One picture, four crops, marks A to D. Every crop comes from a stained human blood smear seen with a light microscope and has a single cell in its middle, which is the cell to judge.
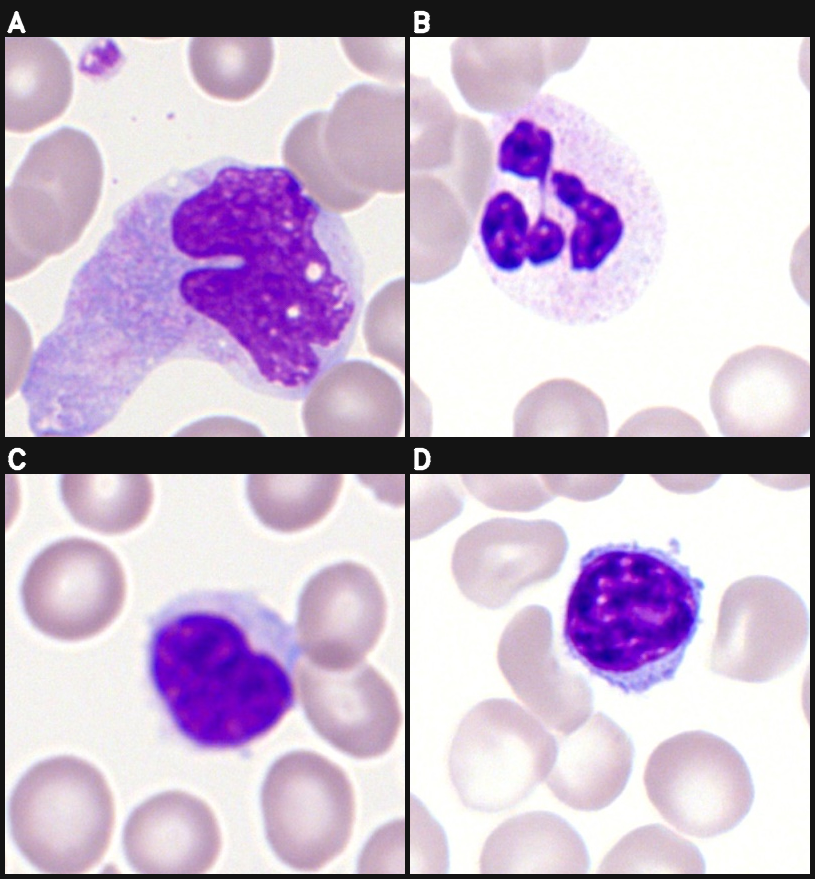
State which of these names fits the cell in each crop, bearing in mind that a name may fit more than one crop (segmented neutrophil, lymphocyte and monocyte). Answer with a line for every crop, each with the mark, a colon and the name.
A: monocyte
B: segmented neutrophil
C: lymphocyte
D: lymphocyte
